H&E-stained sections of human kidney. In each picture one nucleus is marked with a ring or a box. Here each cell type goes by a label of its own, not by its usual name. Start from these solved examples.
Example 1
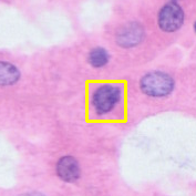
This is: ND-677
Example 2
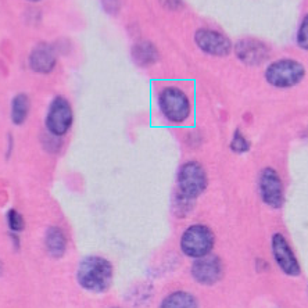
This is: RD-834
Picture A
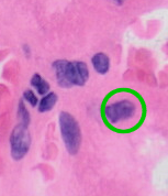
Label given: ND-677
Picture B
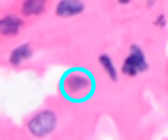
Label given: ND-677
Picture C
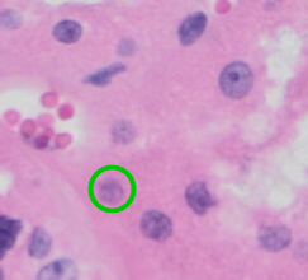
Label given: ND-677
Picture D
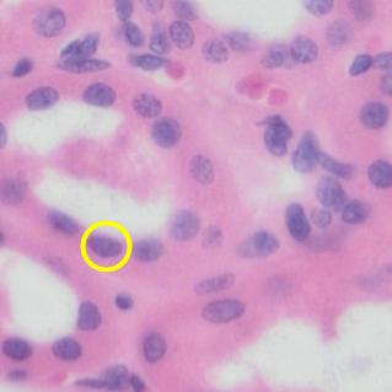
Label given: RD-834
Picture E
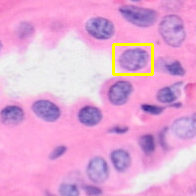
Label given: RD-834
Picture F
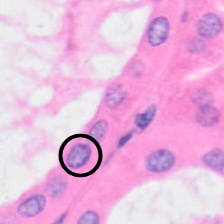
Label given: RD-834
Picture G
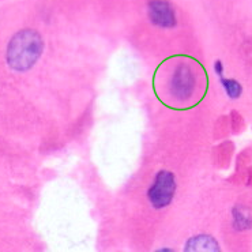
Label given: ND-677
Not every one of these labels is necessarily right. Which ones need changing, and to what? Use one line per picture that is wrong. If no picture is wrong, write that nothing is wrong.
B: RD-834, not ND-677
